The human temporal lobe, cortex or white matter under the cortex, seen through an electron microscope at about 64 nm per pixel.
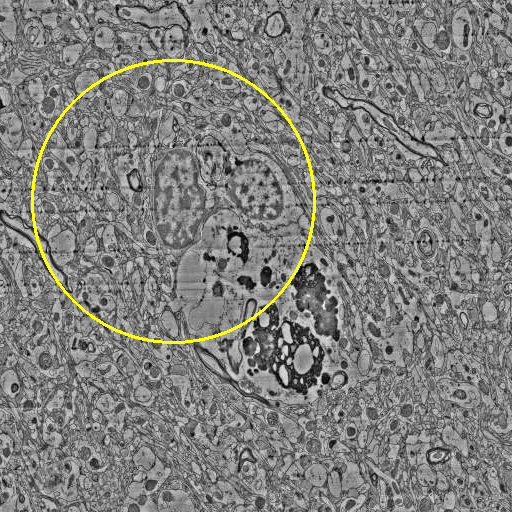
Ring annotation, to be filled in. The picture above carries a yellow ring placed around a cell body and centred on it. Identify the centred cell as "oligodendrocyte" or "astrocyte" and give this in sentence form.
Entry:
The cell in the middle of the ring is an oligodendrocyte.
